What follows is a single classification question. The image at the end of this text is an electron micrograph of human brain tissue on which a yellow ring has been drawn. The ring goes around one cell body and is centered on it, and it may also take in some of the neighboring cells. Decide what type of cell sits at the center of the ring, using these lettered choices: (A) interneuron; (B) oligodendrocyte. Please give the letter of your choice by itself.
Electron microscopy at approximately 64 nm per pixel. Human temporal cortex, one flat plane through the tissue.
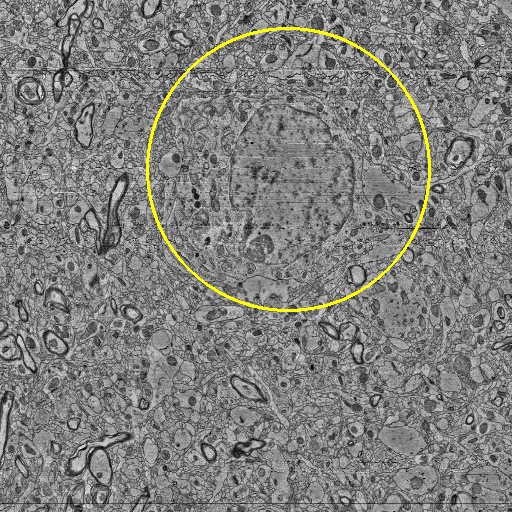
A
